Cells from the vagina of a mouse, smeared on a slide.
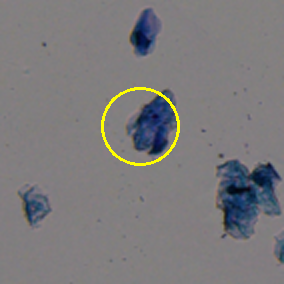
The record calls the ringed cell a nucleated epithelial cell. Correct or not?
Not correct; it is a cornified epithelial cell.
